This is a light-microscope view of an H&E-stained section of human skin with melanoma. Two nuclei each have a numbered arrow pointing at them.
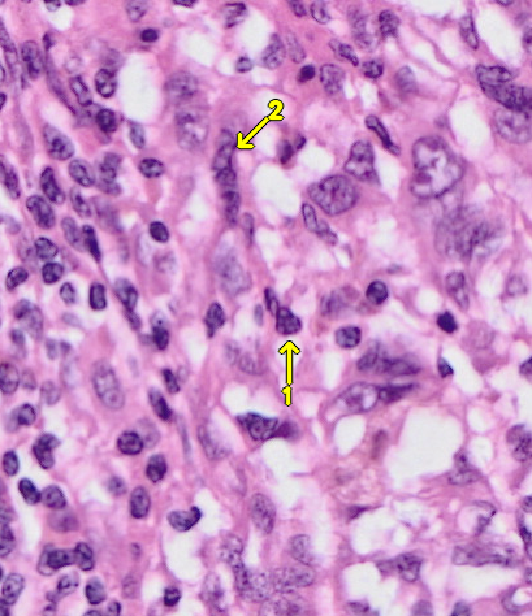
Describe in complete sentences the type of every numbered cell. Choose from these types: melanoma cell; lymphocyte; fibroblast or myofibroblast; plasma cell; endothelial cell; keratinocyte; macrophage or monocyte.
Cell 1 is a lymphocyte. Cell 2 is a melanoma cell.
